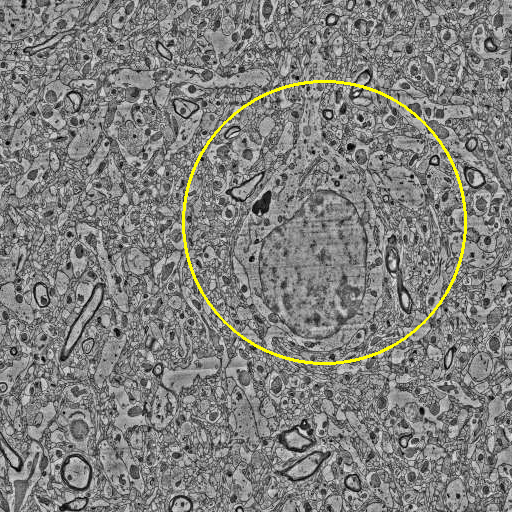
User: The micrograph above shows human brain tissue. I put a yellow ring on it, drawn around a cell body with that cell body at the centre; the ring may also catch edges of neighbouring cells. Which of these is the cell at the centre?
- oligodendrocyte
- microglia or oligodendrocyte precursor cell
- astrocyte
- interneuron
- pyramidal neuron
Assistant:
interneuron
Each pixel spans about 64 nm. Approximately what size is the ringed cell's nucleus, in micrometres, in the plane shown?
The nucleus works out at approximately 9 by 7 micrometres in this plane.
